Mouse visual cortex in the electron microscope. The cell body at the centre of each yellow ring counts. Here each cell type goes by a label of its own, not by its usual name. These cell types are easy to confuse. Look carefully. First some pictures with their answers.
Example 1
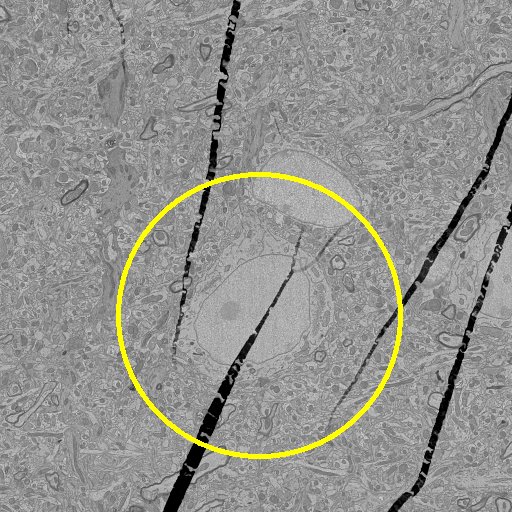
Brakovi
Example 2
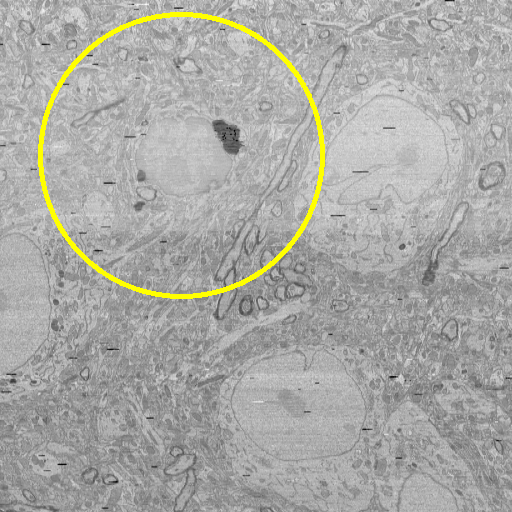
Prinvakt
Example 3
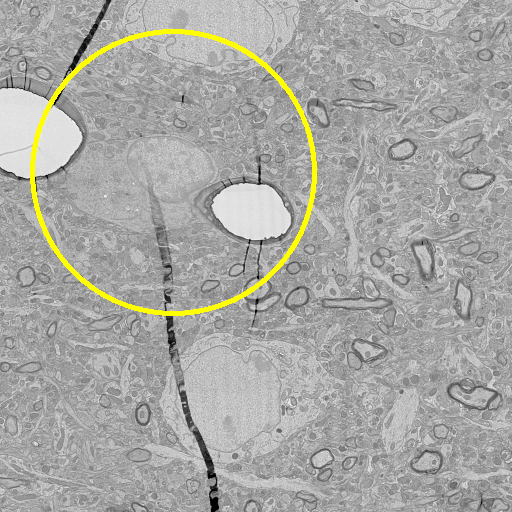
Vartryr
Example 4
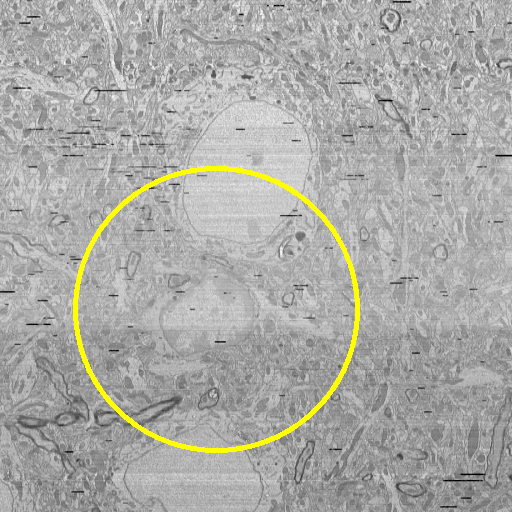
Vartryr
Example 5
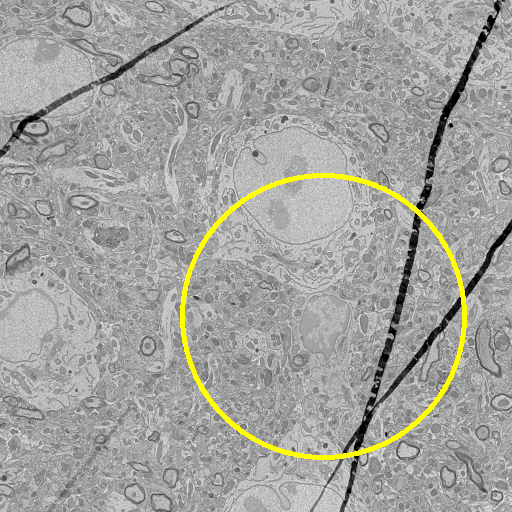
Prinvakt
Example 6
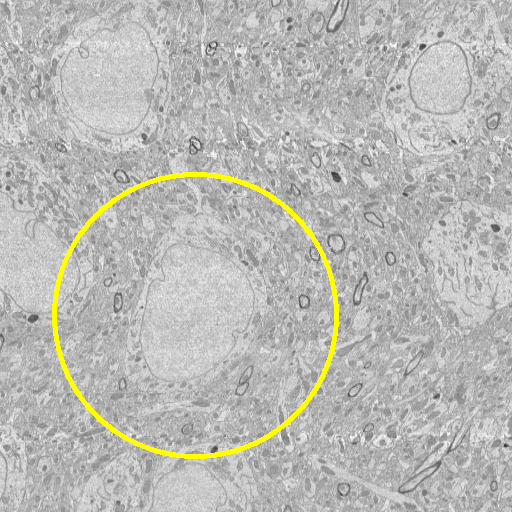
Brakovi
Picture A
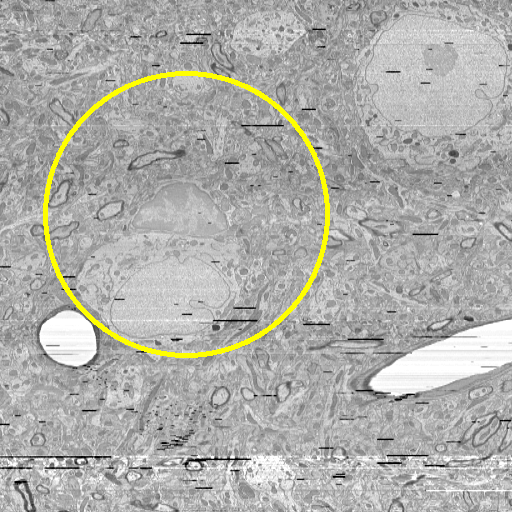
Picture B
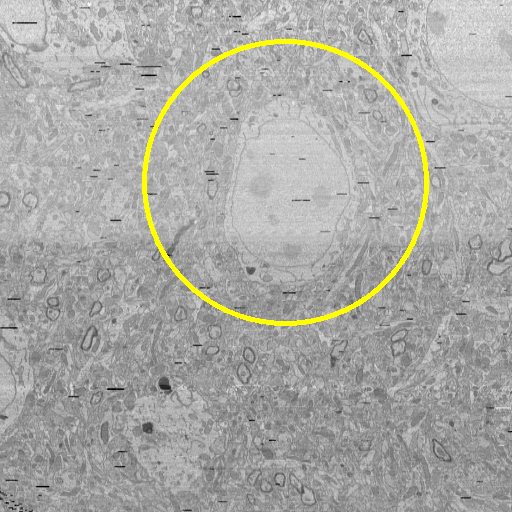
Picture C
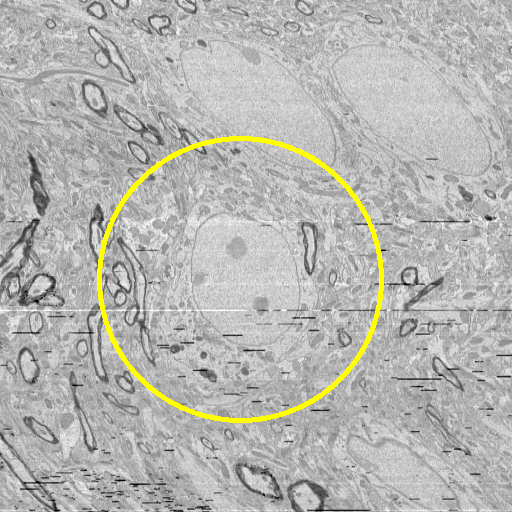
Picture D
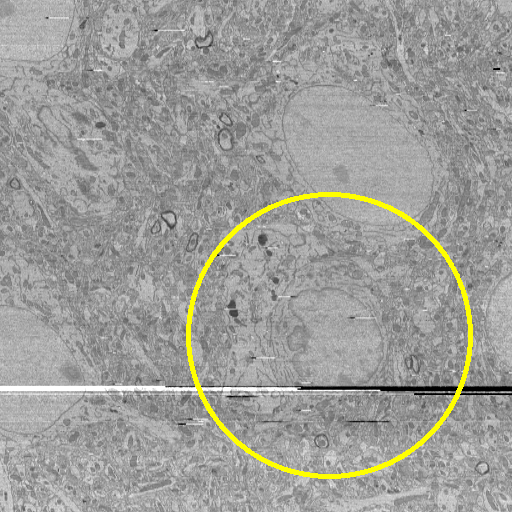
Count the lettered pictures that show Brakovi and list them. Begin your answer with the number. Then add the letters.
Count: 2 (B, C)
